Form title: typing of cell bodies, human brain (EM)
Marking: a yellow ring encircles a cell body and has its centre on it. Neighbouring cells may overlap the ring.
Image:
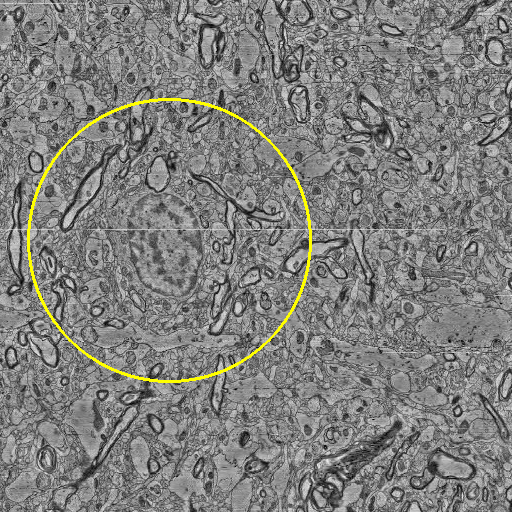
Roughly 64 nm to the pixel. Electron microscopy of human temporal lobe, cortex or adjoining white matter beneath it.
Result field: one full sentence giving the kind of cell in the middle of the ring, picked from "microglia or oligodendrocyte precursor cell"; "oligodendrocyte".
In the picture, the ring is centred on an oligodendrocyte, whose cell body it encircles.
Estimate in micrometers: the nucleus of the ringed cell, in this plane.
In this plane the nucleus is clearly longer than it is wide, at approximately 7 by 5 micrometres.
